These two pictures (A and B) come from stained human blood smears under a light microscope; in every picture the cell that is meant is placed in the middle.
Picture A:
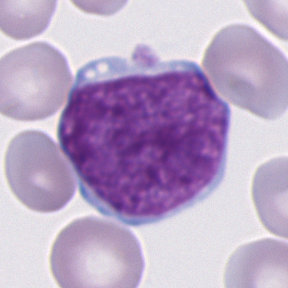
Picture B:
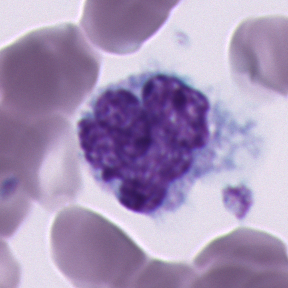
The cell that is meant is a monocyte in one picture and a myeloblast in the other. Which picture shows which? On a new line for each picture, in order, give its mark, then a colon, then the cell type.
A: myeloblast
B: monocyte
